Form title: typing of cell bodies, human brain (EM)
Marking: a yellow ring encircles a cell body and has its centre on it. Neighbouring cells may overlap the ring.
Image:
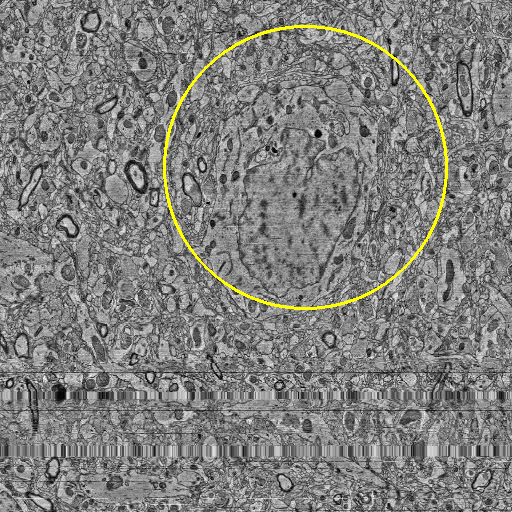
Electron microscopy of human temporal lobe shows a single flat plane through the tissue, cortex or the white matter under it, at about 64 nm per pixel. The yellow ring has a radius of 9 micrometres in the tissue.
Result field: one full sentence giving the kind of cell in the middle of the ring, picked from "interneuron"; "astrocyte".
In the picture, the ring is centred on an interneuron, whose cell body it encircles.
